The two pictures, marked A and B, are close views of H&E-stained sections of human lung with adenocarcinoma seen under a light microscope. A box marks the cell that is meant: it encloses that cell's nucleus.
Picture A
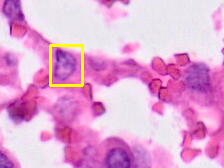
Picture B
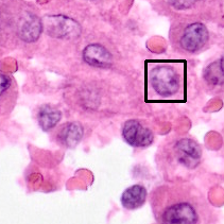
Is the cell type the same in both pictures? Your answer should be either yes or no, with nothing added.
yes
